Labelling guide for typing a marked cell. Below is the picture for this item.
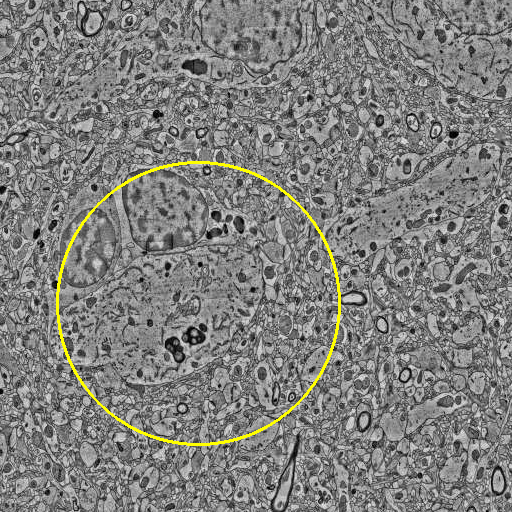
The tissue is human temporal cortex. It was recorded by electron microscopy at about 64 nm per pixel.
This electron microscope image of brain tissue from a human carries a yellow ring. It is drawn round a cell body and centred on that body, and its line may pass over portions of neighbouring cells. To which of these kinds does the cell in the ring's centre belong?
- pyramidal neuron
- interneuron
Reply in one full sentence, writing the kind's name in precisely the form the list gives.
Here we have a pyramidal neuron at the centre of the yellow ring in the picture.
